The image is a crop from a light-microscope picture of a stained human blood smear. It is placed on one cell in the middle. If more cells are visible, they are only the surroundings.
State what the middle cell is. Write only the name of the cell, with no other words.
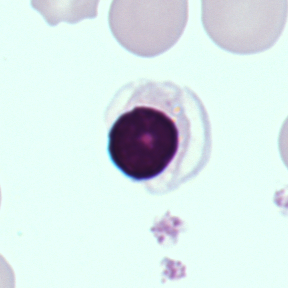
normoblast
